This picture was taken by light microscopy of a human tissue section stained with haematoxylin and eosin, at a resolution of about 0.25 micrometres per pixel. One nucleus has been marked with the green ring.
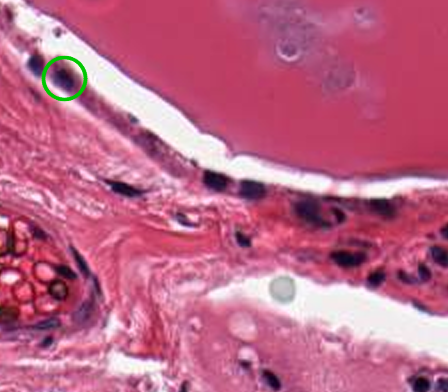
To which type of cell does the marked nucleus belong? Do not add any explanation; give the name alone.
thyroid follicular cell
